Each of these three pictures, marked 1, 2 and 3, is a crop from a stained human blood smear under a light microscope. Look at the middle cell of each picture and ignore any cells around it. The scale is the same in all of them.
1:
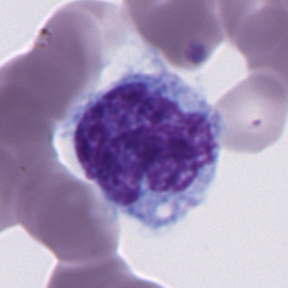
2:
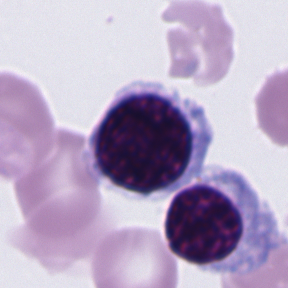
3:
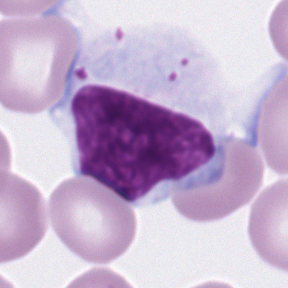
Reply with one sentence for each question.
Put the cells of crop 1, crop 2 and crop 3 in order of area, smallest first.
Smallest first: 2, 1, 3.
